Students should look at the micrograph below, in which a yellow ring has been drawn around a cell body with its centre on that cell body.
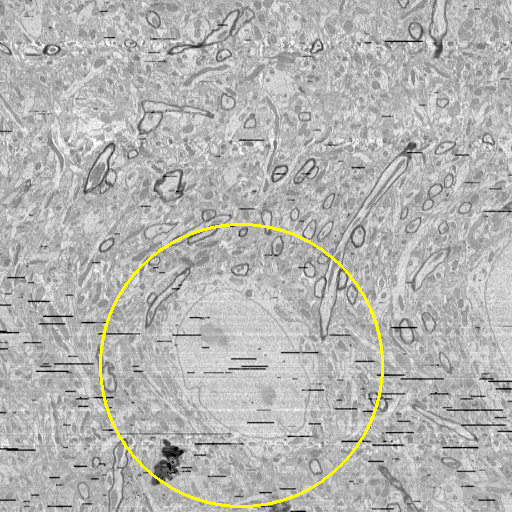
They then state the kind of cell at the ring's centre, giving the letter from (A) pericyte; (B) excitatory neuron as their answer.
B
